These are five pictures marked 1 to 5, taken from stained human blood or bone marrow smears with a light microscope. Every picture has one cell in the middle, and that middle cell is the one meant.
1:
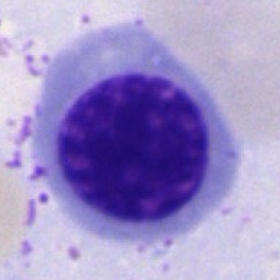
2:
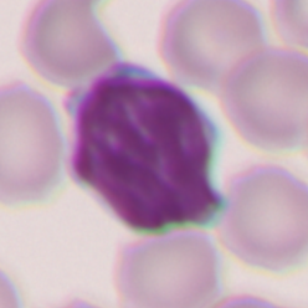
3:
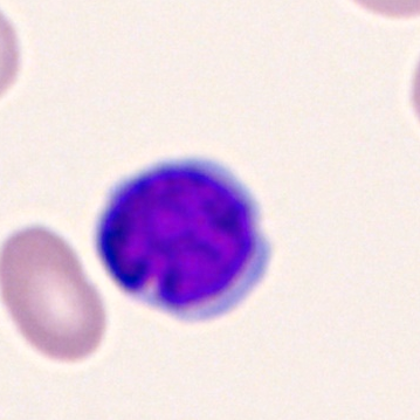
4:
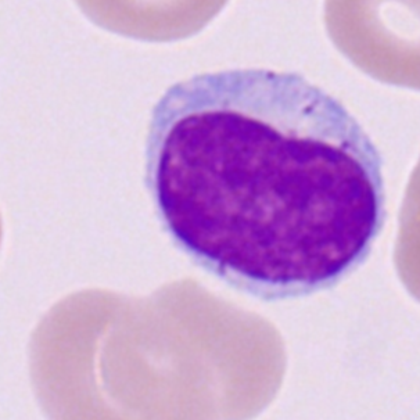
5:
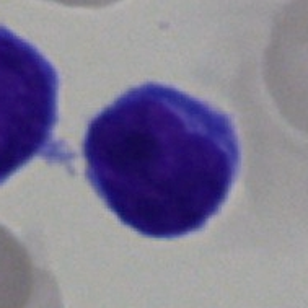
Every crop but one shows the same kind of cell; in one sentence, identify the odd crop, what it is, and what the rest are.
Crop 1 presents an erythroblast, while lymphocytes are presented by all other crops.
